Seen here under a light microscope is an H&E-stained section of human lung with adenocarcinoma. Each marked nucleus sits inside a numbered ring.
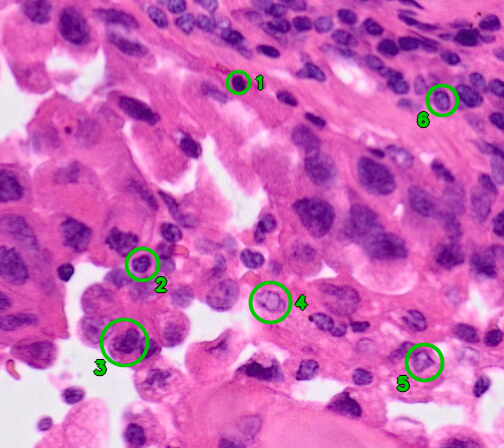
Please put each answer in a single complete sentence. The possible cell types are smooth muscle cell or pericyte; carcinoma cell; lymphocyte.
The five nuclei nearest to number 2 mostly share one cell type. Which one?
Carcinoma cells make up most of the five nuclei closest to number 2.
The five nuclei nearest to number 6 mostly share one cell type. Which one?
Lymphocytes account for more than half of the five nuclei nearest to number 6.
